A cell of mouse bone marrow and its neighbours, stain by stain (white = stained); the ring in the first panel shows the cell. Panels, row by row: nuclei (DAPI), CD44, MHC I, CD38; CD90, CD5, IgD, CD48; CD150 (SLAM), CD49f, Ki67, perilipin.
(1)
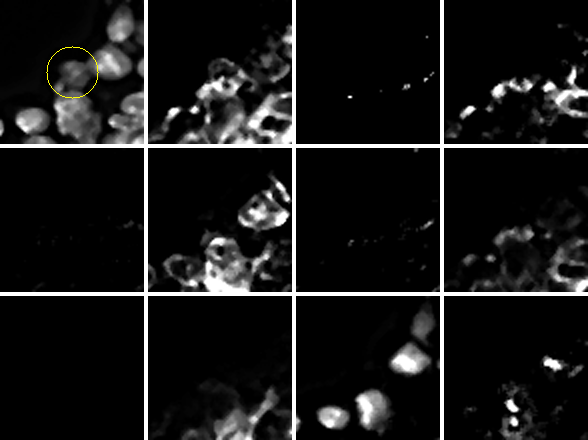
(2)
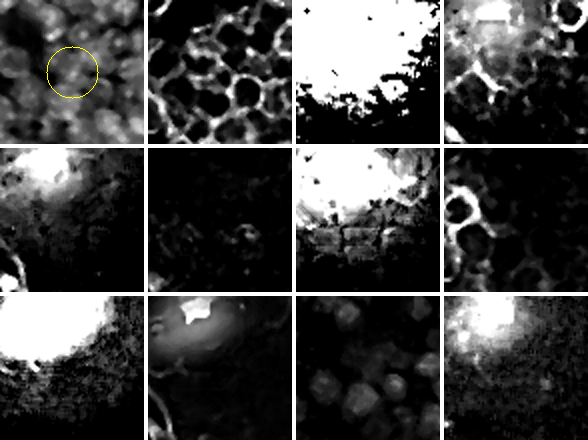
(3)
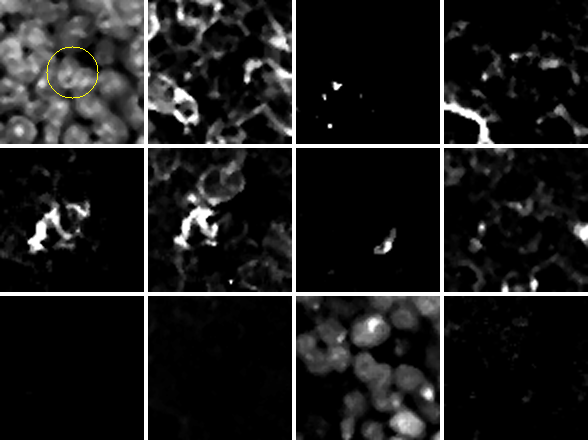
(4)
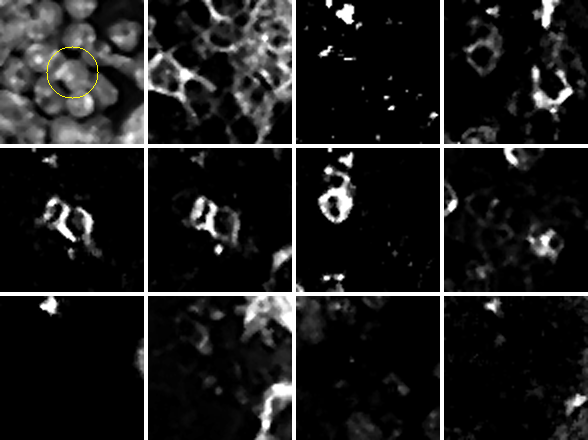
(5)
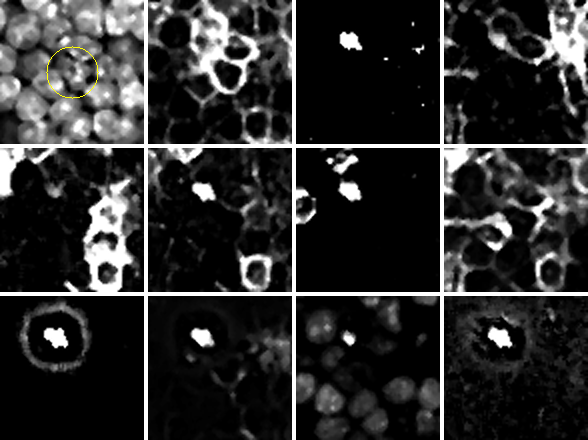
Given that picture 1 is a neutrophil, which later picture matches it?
5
